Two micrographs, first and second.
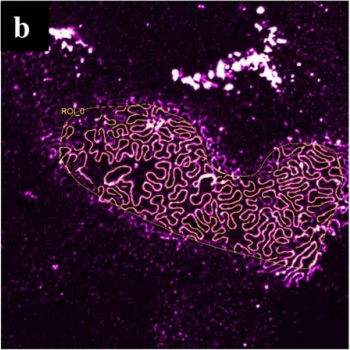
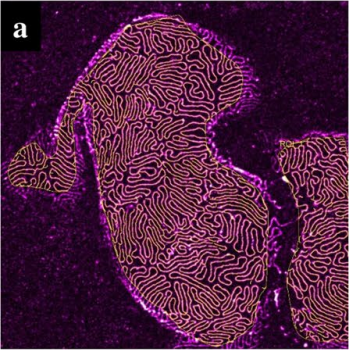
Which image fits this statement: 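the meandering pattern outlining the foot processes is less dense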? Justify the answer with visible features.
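First image: the magenta loops are wider and more loosely spaced, with some irregular thickened segments. Second image: the magenta lines are tightly packed in a fine, regular labyrinth-like pattern.
Answer: the first image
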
